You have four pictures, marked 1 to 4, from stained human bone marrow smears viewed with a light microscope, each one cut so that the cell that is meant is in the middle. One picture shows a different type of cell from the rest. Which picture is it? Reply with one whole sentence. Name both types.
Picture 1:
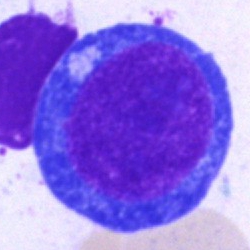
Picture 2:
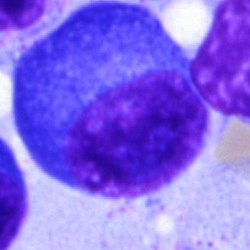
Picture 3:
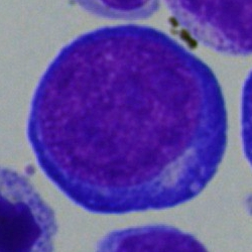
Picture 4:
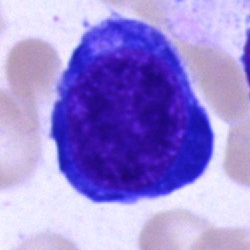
The different one is picture 2; it shows a plasma cell, whereas all the others show proerythroblasts.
